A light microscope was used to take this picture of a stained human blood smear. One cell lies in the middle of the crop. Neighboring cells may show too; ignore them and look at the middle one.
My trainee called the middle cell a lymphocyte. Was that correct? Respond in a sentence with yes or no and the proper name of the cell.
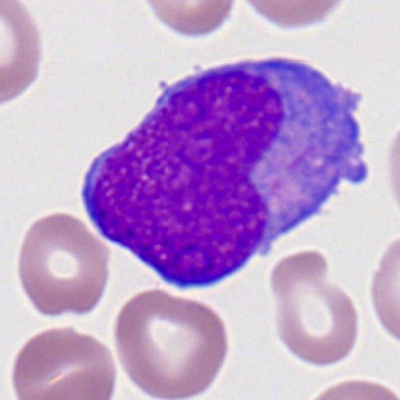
No, at the middle of the crop is a myeloblast, not a lymphocyte.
